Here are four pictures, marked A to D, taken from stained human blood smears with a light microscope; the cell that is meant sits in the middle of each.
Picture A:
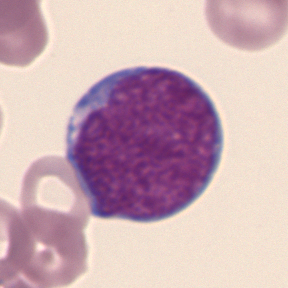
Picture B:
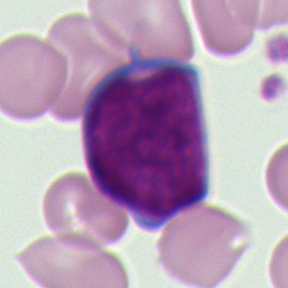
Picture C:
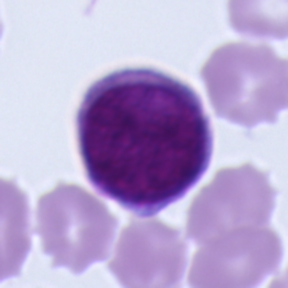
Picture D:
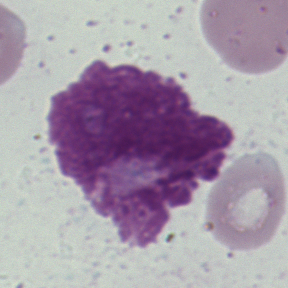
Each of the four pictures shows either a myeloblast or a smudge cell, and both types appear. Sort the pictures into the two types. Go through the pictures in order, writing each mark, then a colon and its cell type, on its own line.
A: myeloblast
B: myeloblast
C: myeloblast
D: smudge cell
